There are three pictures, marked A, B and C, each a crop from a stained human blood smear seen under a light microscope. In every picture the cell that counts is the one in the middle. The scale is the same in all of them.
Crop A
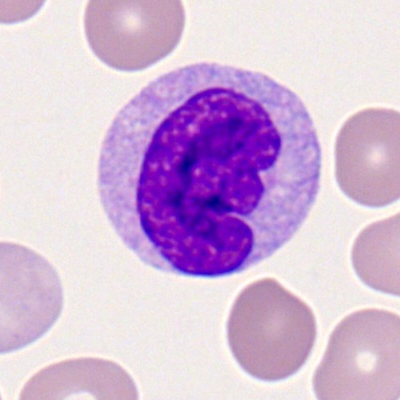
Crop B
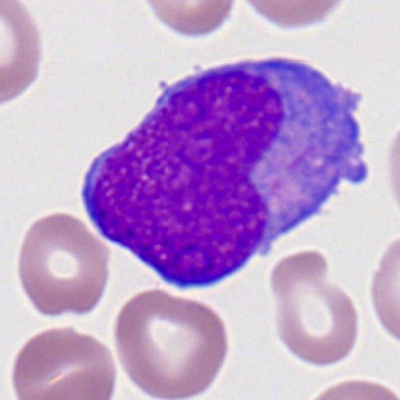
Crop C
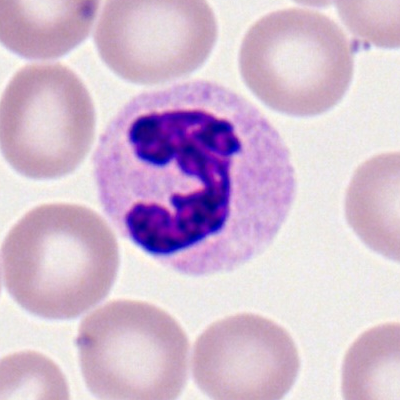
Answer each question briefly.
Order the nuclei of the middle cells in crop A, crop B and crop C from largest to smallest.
B, A, C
